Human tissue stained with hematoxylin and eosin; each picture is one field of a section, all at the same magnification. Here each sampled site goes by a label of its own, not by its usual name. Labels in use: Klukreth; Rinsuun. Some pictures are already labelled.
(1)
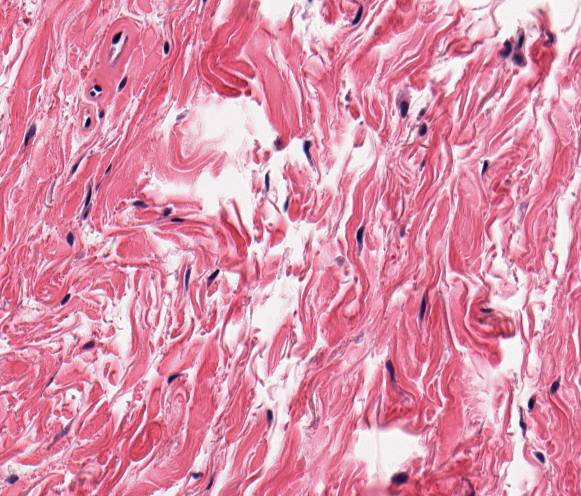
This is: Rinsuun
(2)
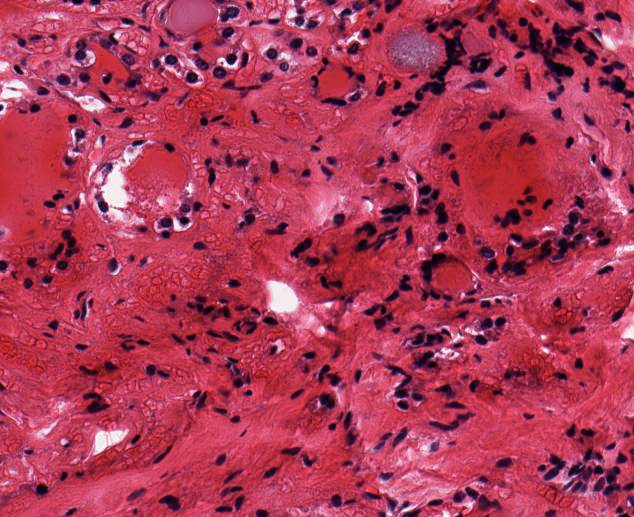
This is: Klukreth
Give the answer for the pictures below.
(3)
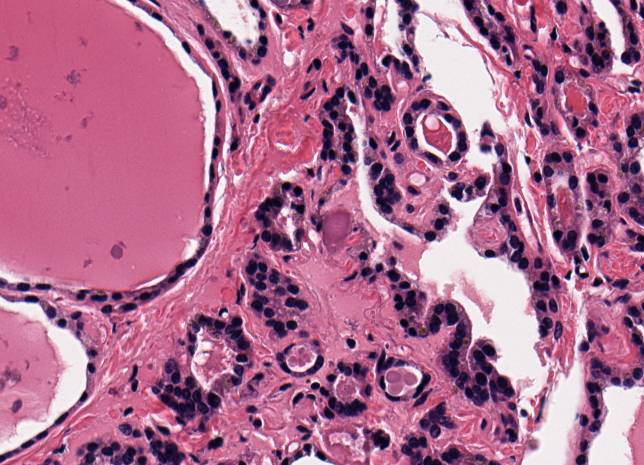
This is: Klukreth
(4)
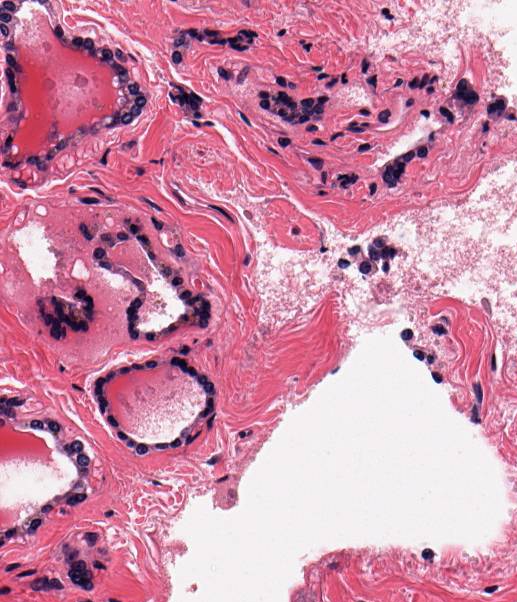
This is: Klukreth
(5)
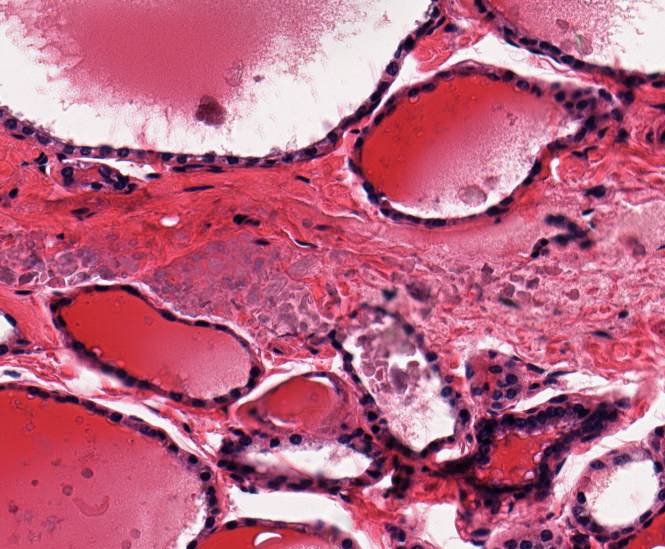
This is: Klukreth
